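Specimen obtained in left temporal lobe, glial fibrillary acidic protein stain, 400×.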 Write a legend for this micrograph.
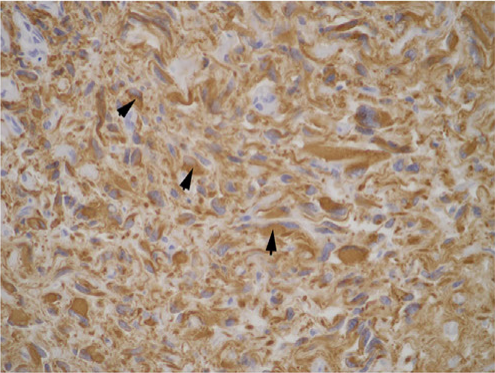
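The brown color fills irregular and elongated cell bodies and their tapering extensions, which interlace across the field. The nuclei are oval to elongated and counterstained blue, standing out as pale blue areas within the brown. Some cells have plump brown cytoplasm while others are thin and fibre-like. Small pale gaps lie between the stained cells.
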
